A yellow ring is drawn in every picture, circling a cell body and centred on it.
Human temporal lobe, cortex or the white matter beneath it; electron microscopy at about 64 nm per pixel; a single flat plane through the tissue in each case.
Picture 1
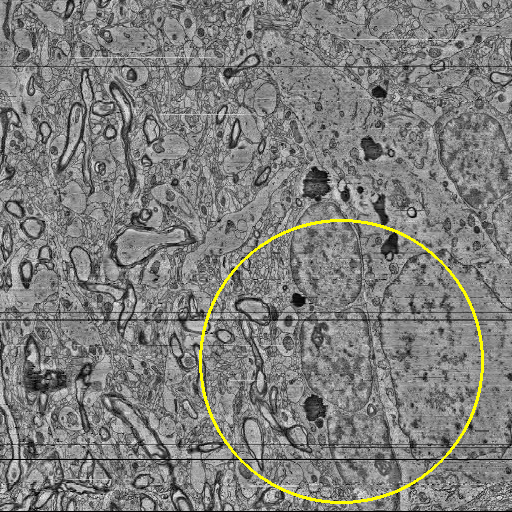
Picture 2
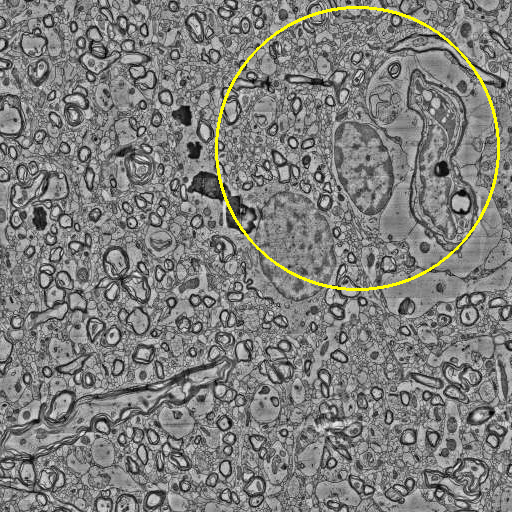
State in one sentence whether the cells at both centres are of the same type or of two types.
The cells at the two ring centres, one per picture, are of two types.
